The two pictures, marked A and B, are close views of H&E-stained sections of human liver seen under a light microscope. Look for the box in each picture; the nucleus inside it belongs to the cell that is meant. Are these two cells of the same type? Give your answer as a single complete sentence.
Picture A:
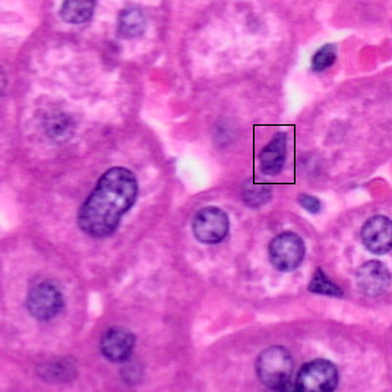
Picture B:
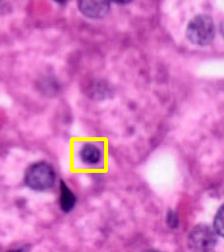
No; the cell in picture A is a “fibroblast or stellate cell”, while the one in picture B is a lymphocyte.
